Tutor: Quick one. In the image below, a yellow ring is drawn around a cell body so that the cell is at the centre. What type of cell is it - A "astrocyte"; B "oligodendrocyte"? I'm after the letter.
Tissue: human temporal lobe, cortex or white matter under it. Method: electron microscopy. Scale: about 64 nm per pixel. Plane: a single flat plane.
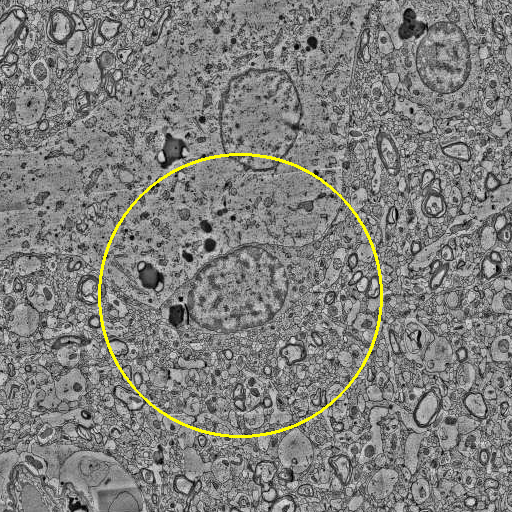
B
